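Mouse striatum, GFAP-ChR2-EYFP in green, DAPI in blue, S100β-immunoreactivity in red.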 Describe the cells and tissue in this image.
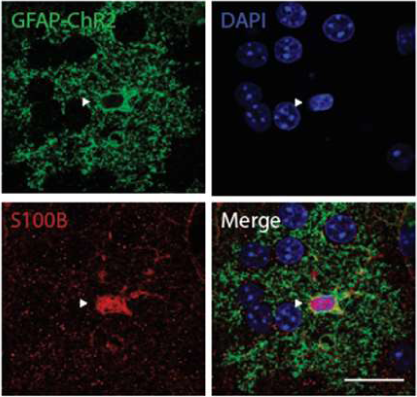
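In the green channel a fine, dense, sponge-like meshwork of labelled processes fills much of the field, with a brighter cell body at the arrowhead and dark round holes where unlabelled cells lie. The blue channel shows round to oval nuclei scattered through the field, one of them at the arrowhead. The red channel shows one cell body with short branching processes at the same position, against a faint speckled background. In the merged image the red, green and blue signals coincide at the marked cell, while other nuclei sit in gaps of the green meshwork.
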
